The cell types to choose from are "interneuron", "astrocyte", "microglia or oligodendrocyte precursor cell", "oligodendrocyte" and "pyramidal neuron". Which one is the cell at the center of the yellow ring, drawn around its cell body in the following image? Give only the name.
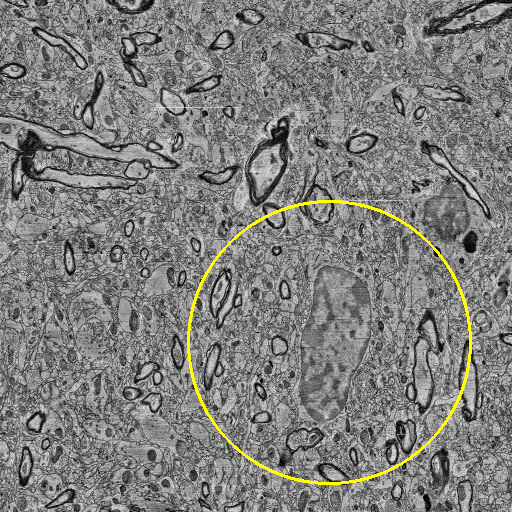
microglia or oligodendrocyte precursor cell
